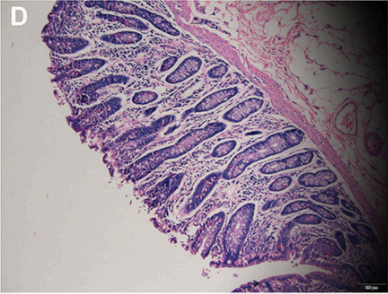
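Pink lamina propria fills the spaces between crypts. At the deep side, on the right, the mucosa meets a loose pink submucosa and a band of muscle, and at the upper right there are clear, empty-looking fat cells.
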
